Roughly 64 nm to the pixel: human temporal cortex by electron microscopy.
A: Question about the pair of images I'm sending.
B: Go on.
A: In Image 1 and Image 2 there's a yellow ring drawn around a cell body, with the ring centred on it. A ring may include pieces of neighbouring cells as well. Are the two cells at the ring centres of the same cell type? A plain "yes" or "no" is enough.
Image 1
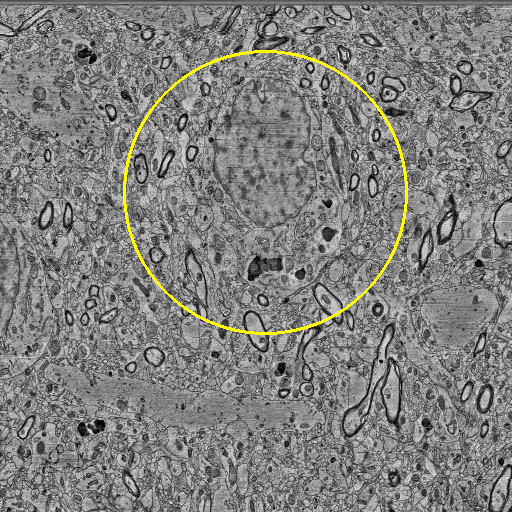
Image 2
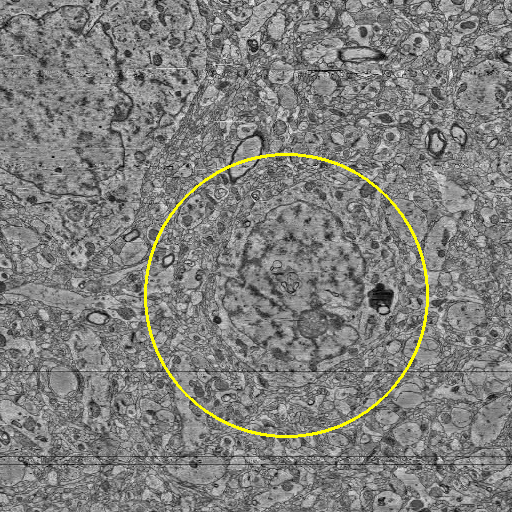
yes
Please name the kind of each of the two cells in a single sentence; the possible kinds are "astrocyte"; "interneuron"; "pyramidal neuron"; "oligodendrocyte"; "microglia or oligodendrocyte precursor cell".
In the first picture and in the second, the ring is centred on an interneuron.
